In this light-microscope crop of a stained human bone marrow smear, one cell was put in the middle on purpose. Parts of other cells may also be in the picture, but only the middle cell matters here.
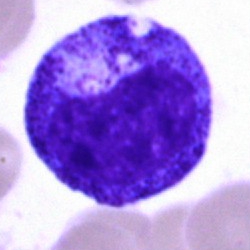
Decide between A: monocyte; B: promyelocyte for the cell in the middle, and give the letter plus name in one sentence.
In the middle of the crop is a promyelocyte; option B is therefore correct.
